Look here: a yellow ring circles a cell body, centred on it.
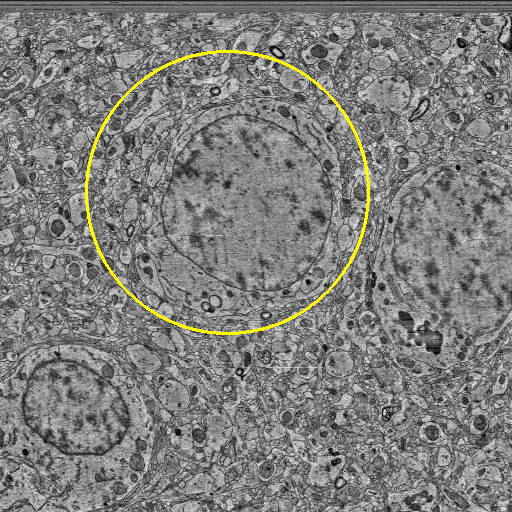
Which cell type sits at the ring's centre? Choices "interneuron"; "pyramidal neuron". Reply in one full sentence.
The cell at the centre of the yellow ring in the picture is a pyramidal neuron.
